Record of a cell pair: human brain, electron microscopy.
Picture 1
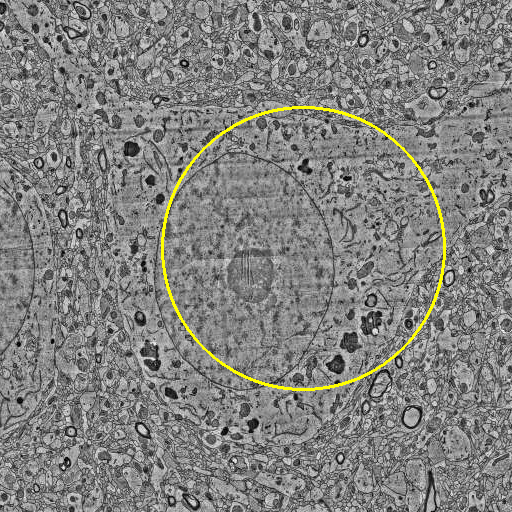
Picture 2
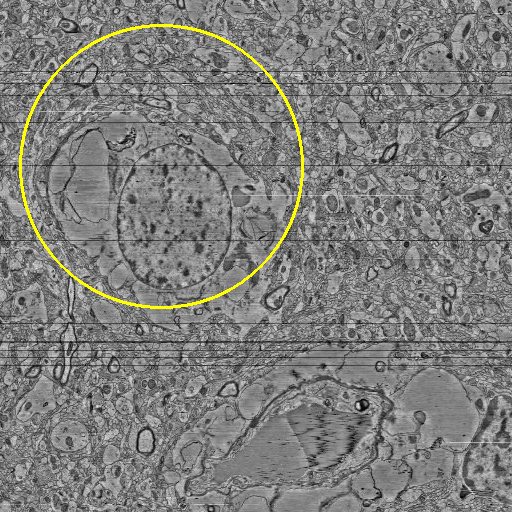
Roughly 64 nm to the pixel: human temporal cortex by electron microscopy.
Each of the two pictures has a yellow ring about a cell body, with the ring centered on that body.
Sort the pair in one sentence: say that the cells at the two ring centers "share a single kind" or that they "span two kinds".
The cells centered in the rings of Pictures 1 and 2 span two kinds.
